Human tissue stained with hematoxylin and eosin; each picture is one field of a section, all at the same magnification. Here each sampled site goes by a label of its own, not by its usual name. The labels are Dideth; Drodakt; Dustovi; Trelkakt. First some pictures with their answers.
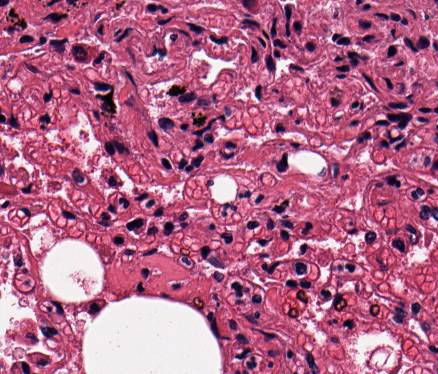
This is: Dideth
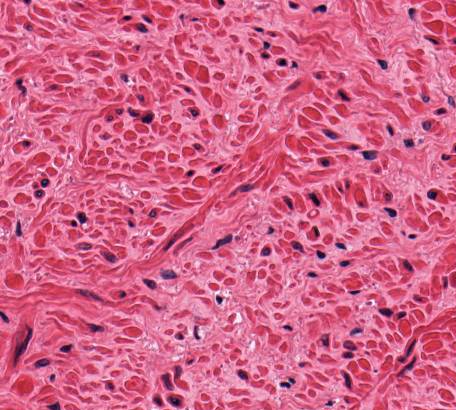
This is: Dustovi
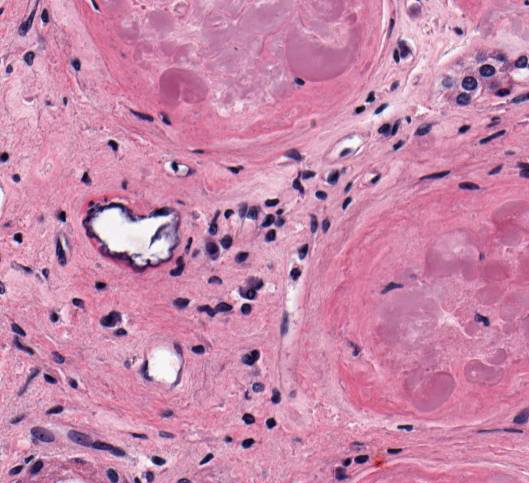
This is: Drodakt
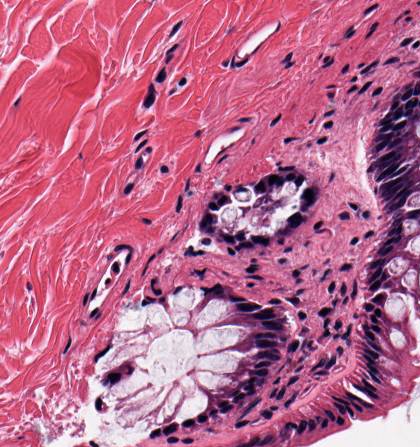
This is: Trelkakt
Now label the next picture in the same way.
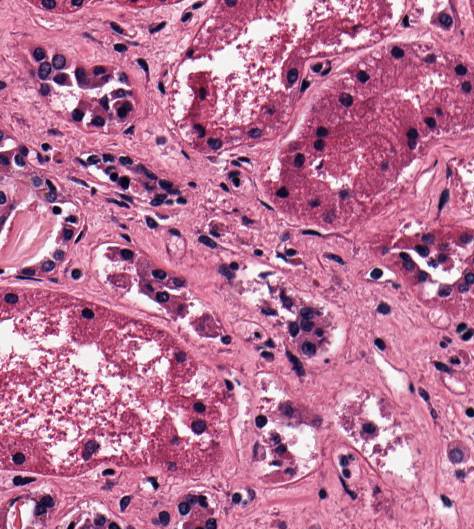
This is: Drodakt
